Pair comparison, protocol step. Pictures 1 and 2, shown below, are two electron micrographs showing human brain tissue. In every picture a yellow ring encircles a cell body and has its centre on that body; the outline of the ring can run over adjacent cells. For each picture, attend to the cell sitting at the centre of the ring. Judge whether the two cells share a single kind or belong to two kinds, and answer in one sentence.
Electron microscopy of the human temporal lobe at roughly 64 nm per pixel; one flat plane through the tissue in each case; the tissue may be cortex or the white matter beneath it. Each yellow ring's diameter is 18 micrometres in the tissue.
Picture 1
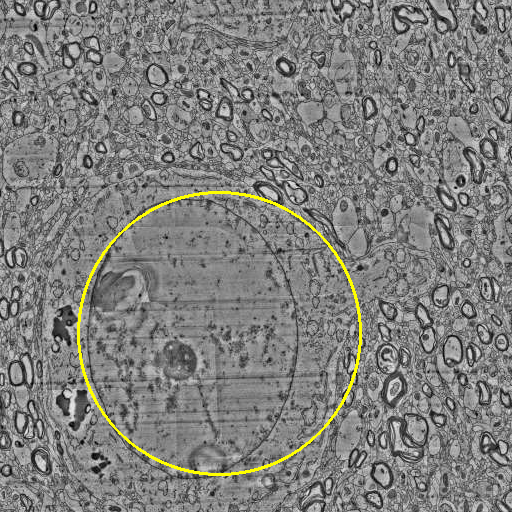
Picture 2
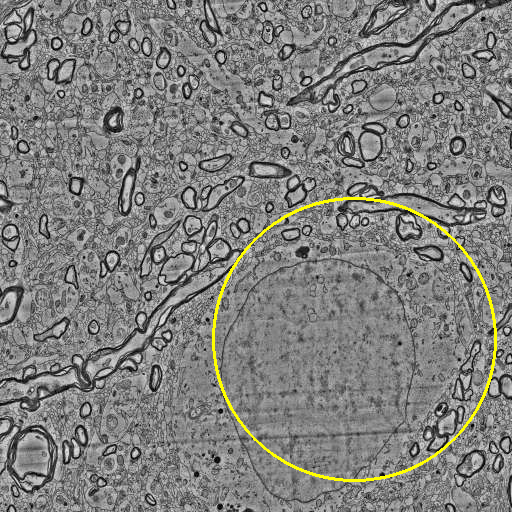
The two cells at the ring centres in Picture 1 and Picture 2 share a single kind.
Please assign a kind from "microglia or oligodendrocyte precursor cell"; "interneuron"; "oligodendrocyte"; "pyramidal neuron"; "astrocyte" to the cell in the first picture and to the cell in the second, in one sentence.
Each of the two pictures has a pyramidal neuron at the ring centre.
